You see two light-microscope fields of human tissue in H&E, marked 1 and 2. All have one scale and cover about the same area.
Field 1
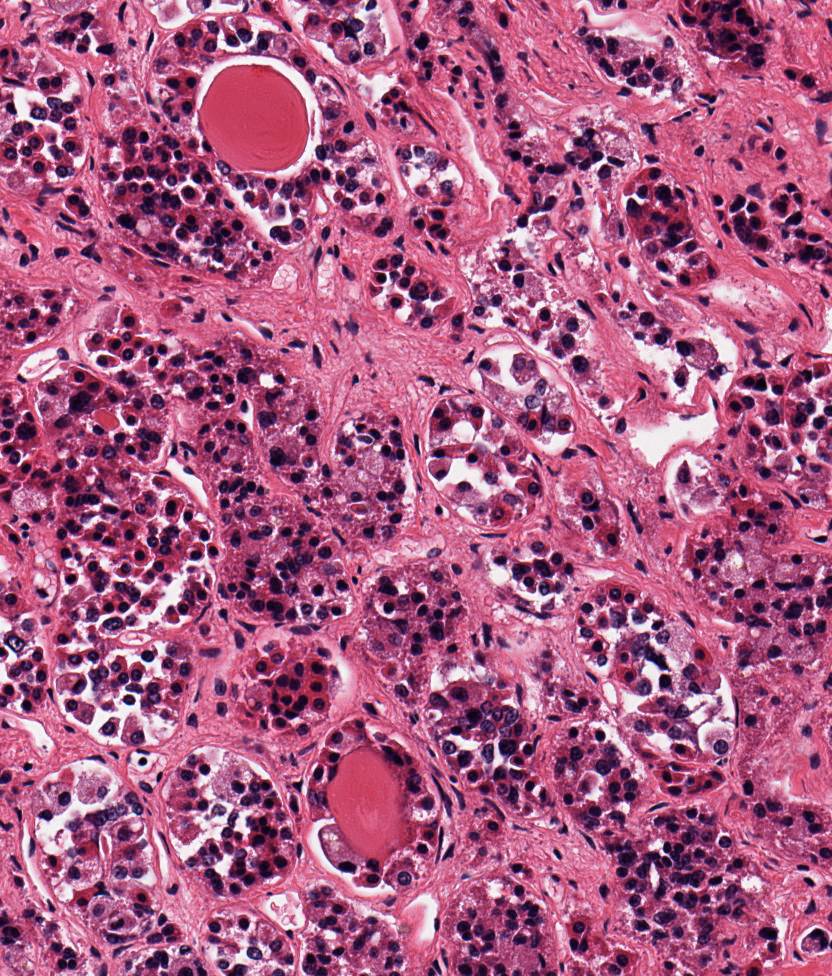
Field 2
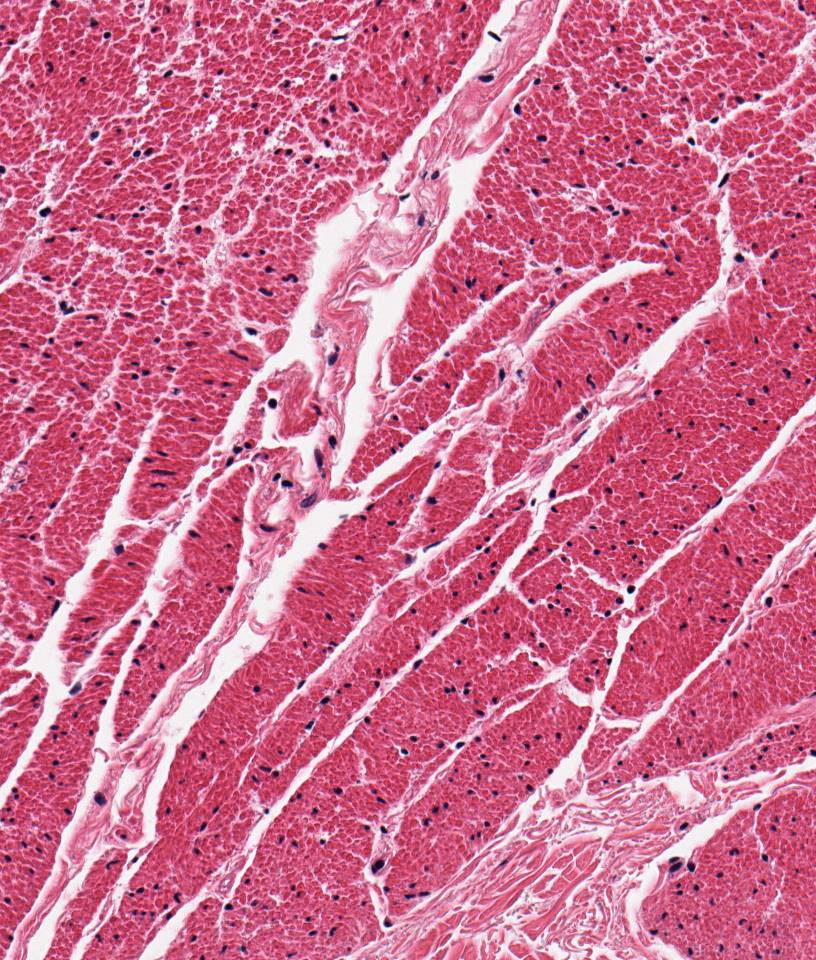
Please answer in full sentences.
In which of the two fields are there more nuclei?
There are more nuclei in field 1.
